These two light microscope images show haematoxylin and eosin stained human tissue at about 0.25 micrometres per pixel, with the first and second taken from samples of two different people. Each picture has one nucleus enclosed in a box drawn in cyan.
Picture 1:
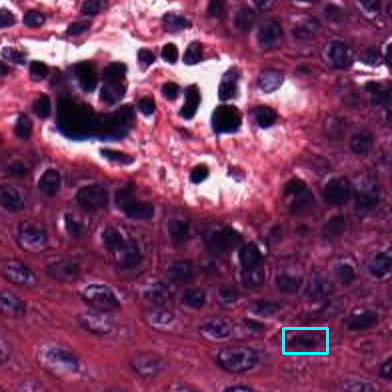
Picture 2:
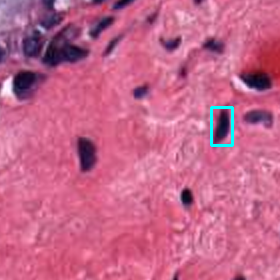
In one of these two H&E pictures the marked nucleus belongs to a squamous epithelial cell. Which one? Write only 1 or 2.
1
